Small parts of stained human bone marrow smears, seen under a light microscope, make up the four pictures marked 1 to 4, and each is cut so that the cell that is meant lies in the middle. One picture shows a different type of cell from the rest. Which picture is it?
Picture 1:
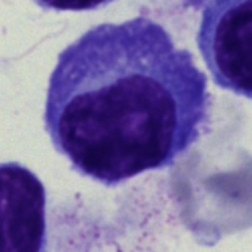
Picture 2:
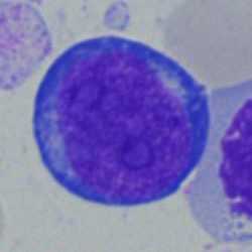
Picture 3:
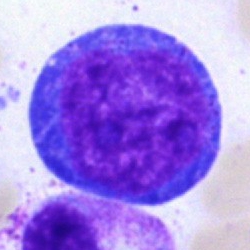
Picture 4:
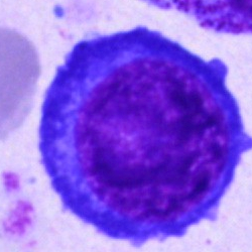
1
